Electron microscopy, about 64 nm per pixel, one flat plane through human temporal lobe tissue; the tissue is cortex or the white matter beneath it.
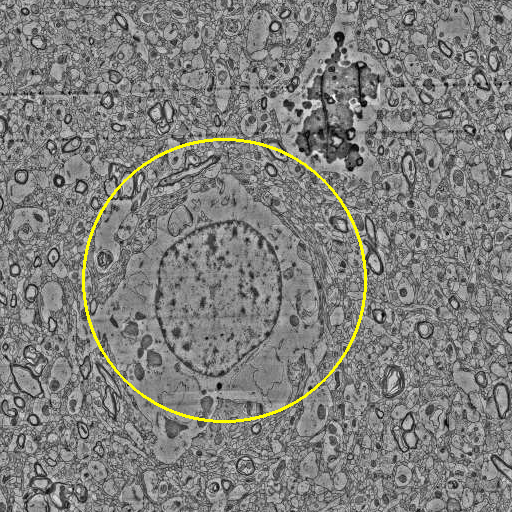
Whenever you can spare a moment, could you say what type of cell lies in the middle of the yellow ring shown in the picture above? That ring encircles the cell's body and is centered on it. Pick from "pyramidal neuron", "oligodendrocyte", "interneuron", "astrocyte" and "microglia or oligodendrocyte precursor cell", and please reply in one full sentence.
The cell whose body sits at the middle of the yellow ring is an astrocyte.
